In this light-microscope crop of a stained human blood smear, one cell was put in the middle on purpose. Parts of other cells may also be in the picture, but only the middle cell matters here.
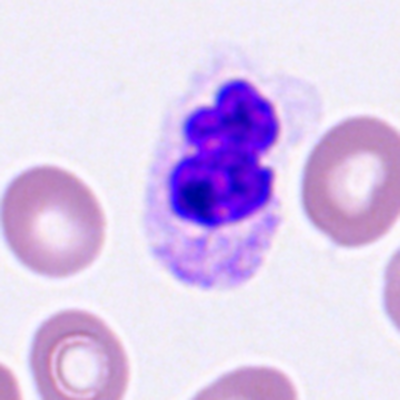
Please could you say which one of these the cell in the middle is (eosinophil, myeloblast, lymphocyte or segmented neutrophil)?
segmented neutrophil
